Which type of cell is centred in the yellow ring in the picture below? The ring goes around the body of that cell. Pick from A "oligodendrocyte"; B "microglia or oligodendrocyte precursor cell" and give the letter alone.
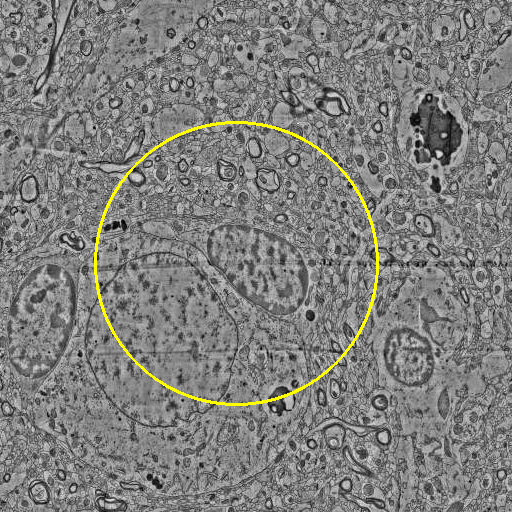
B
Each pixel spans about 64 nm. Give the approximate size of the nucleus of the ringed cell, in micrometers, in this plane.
Roughly 7 by 4 micrometres; in this plane, clearly longer than it is wide.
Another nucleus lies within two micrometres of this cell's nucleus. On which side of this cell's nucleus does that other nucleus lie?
The other nucleus sits to the left of it.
